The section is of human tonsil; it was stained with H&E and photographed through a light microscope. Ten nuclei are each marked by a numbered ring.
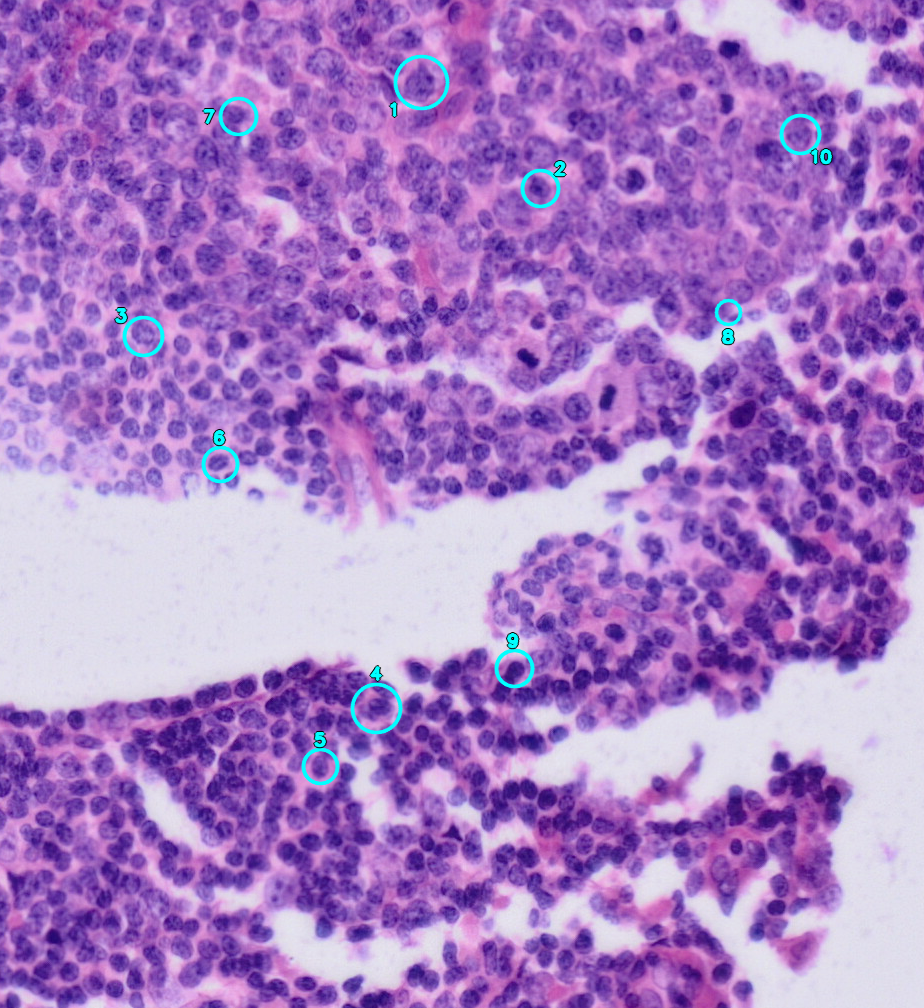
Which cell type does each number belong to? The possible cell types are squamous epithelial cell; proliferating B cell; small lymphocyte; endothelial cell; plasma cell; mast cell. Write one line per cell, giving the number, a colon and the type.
1: proliferating B cell
2: proliferating B cell
3: proliferating B cell
4: small lymphocyte
5: small lymphocyte
6: small lymphocyte
7: proliferating B cell
8: proliferating B cell
9: small lymphocyte
10: proliferating B cell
